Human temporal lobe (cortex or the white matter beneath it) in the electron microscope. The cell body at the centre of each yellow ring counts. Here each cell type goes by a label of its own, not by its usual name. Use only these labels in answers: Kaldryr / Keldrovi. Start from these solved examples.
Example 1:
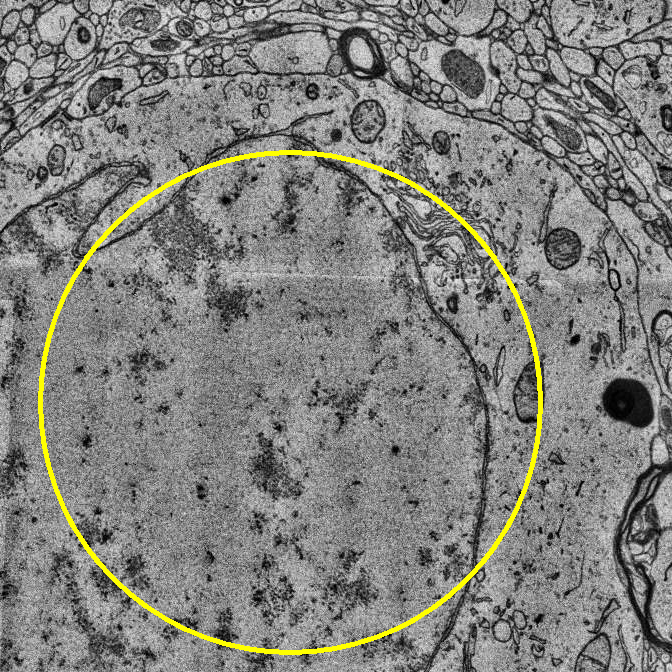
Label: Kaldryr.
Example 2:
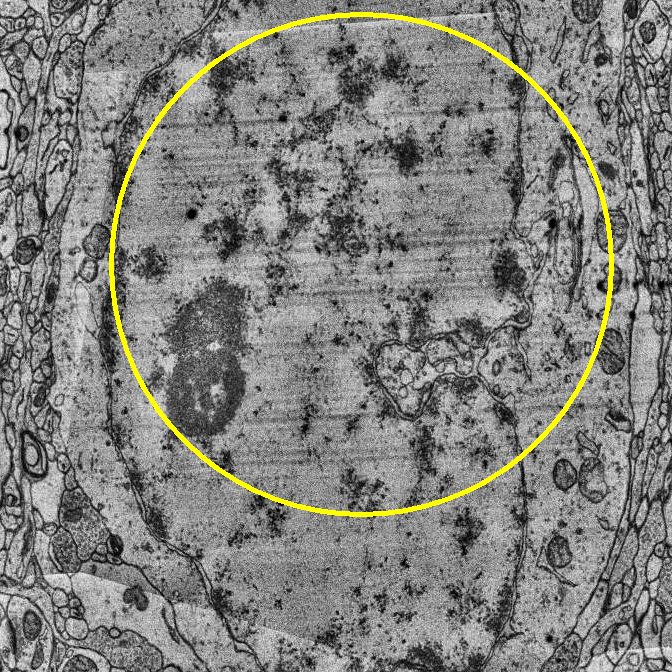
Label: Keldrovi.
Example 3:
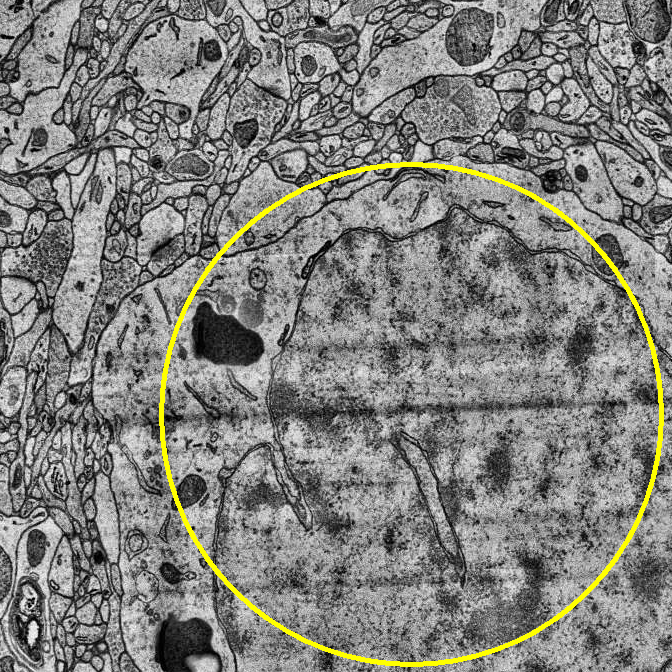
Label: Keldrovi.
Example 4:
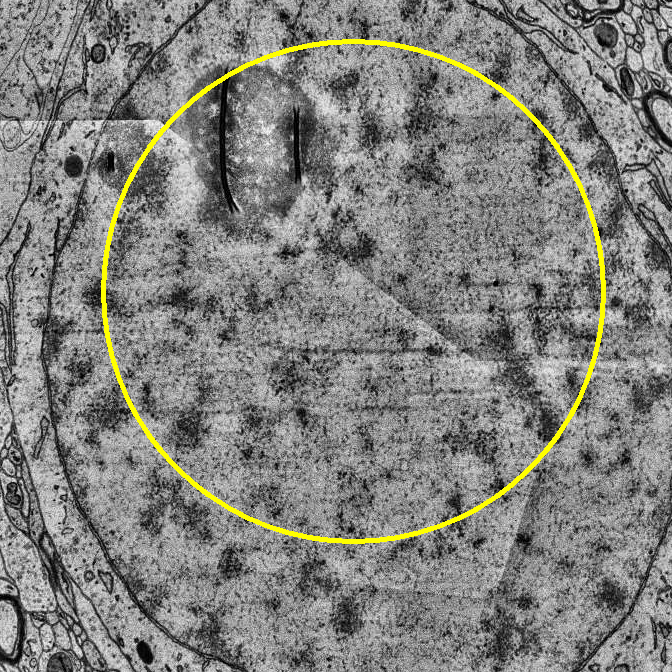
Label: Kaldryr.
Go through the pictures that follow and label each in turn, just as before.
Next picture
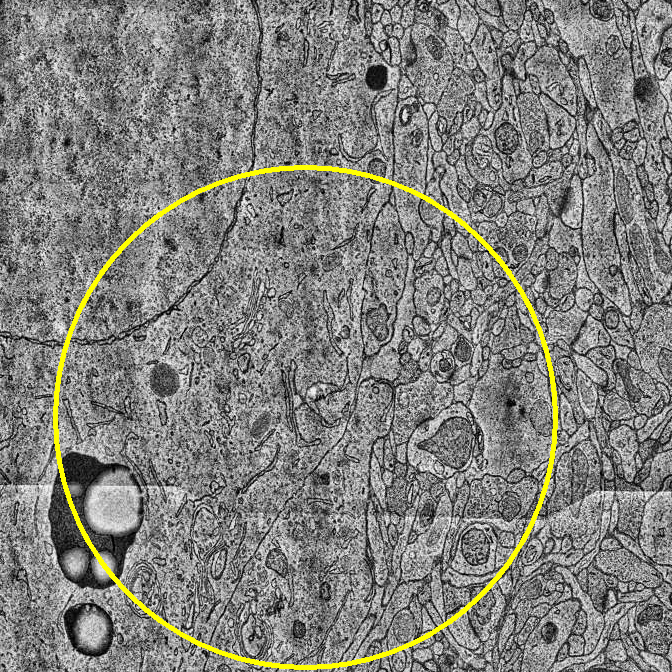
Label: Kaldryr.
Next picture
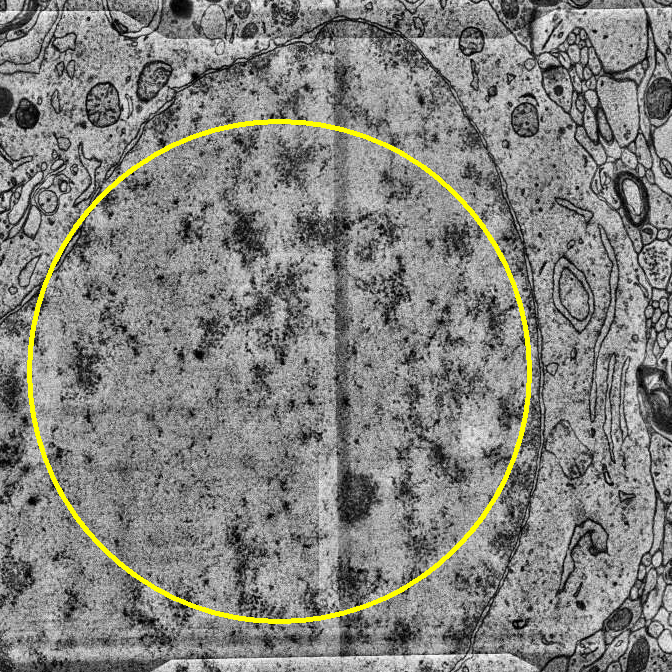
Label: Keldrovi.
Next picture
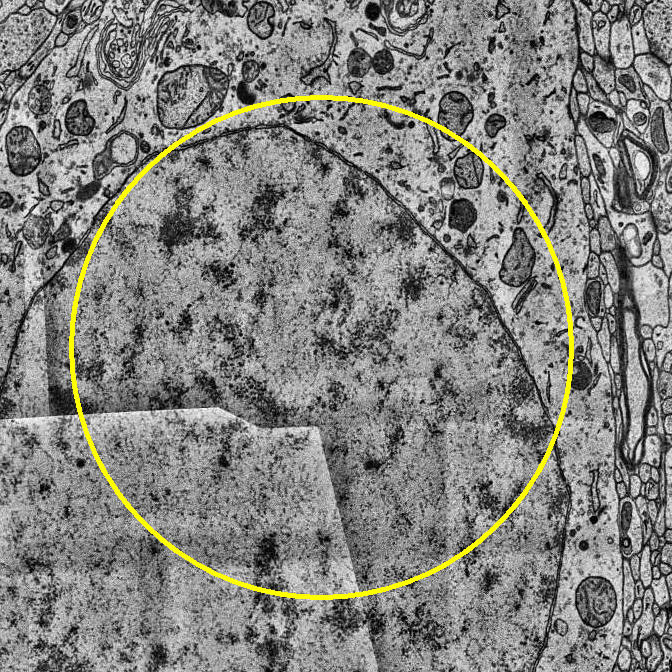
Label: Kaldryr.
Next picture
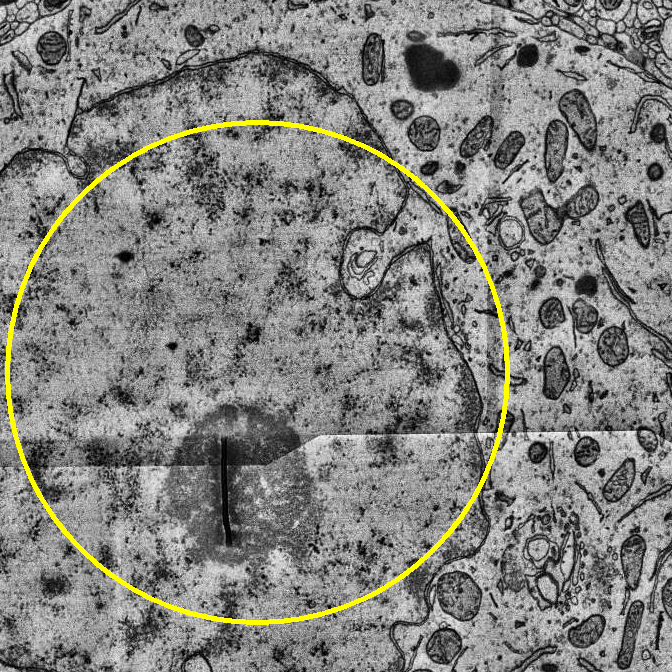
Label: Keldrovi.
